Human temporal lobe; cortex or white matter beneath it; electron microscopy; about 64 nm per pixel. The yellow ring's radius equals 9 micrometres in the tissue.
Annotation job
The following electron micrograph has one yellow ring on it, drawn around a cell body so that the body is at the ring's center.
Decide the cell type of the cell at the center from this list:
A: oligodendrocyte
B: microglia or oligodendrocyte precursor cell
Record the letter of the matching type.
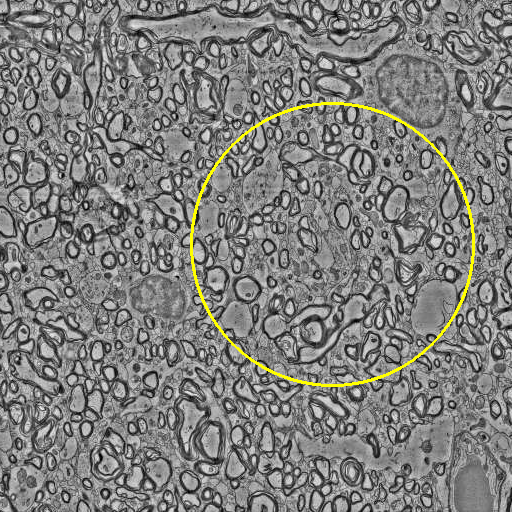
A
